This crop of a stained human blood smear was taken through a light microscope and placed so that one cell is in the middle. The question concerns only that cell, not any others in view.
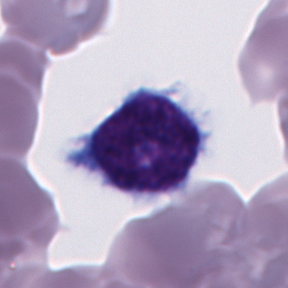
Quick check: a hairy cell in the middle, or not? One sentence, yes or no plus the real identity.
Yes, the cell at the centre of the field is a hairy cell.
